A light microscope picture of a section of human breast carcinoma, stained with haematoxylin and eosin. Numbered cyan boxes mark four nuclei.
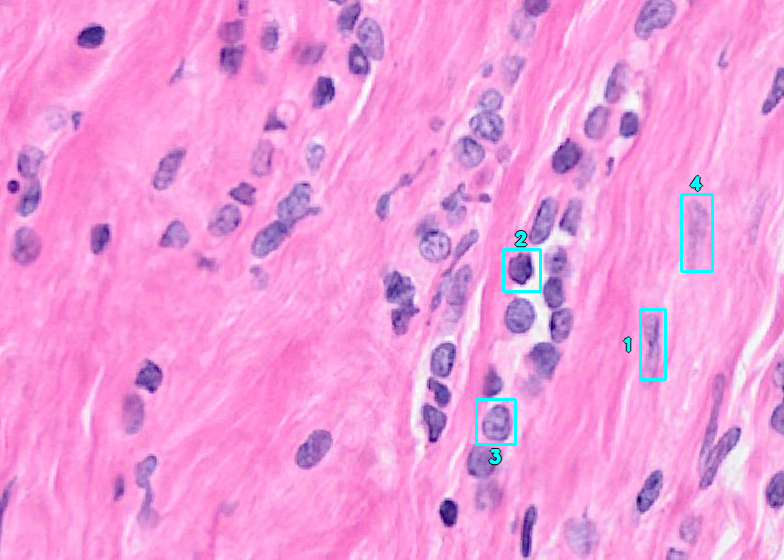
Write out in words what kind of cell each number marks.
Cells 1 and 4 are fibroblasts. Cells 2 and 3 are carcinoma cells.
